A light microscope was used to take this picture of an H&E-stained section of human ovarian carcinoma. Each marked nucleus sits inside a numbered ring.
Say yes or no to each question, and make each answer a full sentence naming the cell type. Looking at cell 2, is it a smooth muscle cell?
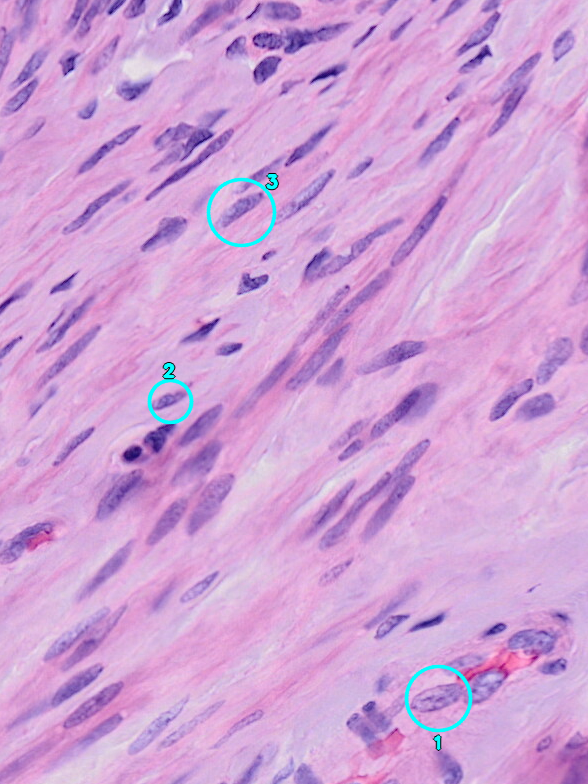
Yes, on this slide, the cell with number 2 is a smooth muscle cell.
